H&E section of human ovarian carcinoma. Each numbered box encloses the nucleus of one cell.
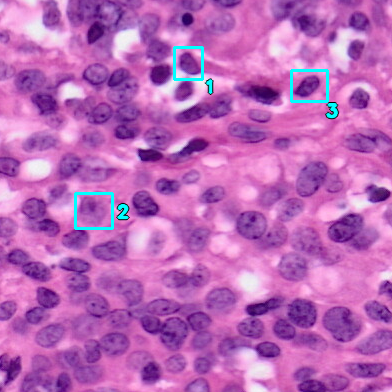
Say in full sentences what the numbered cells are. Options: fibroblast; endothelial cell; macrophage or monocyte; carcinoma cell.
Cells 1 and 2 are carcinoma cells. Cell 3 is a macrophage or monocyte.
